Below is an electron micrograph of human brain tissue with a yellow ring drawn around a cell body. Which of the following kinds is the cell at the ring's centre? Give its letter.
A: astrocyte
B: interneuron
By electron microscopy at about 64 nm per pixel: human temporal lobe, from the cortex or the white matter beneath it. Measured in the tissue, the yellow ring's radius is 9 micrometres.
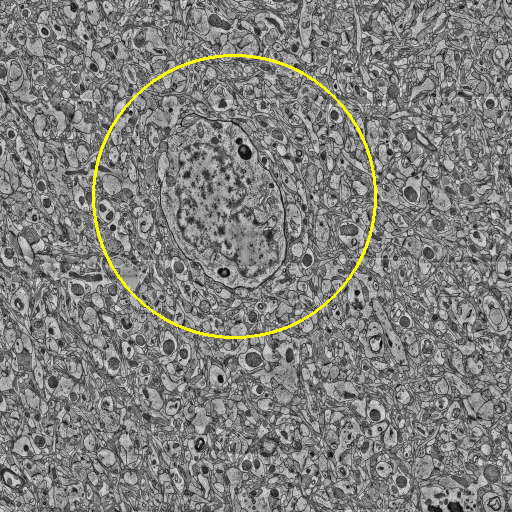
B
